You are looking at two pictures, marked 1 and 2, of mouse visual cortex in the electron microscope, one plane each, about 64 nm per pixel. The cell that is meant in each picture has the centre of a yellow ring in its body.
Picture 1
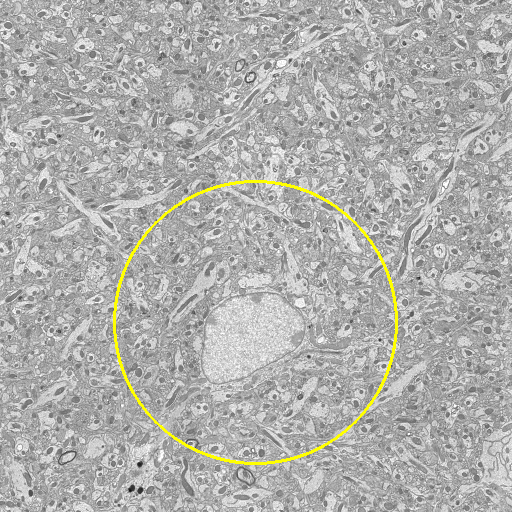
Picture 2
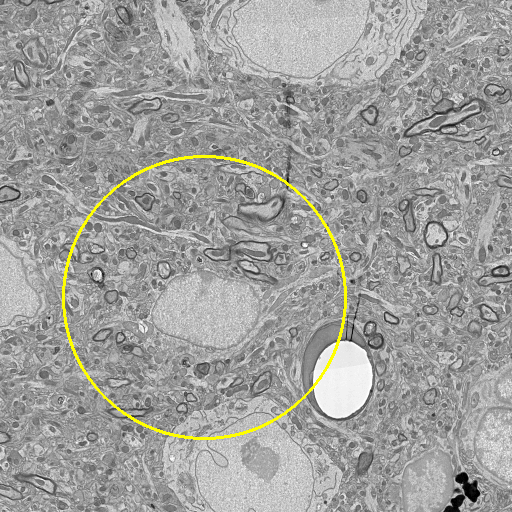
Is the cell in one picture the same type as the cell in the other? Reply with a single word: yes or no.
yes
